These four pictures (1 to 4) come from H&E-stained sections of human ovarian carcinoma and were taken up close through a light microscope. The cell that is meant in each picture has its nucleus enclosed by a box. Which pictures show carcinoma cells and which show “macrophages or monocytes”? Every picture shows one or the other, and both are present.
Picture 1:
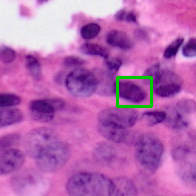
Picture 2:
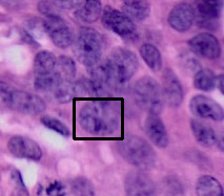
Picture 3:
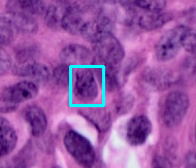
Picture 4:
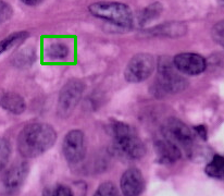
1: carcinoma cell
2: carcinoma cell
3: macrophage or monocyte
4: macrophage or monocyte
